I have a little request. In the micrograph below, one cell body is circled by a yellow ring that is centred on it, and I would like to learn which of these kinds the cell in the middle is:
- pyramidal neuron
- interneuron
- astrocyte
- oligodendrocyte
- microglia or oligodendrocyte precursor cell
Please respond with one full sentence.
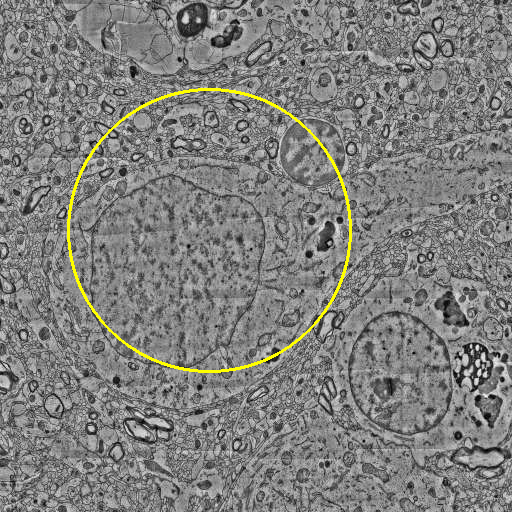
The cell sitting in the middle of the yellow ring in the micrograph is a pyramidal neuron.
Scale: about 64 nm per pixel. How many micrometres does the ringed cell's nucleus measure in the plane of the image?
Roughly 12 micrometres across for the nucleus, in this plane.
